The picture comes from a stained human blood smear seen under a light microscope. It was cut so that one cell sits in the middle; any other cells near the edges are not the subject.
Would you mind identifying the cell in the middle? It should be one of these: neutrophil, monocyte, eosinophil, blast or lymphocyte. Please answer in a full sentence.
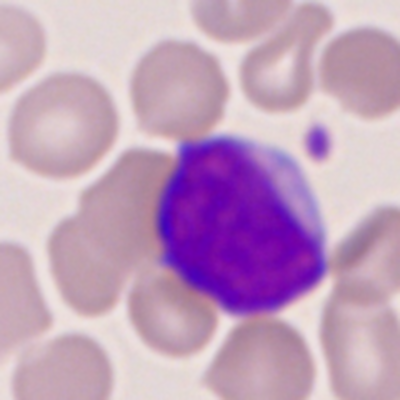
The target cell in the middle of the crop is a blast.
